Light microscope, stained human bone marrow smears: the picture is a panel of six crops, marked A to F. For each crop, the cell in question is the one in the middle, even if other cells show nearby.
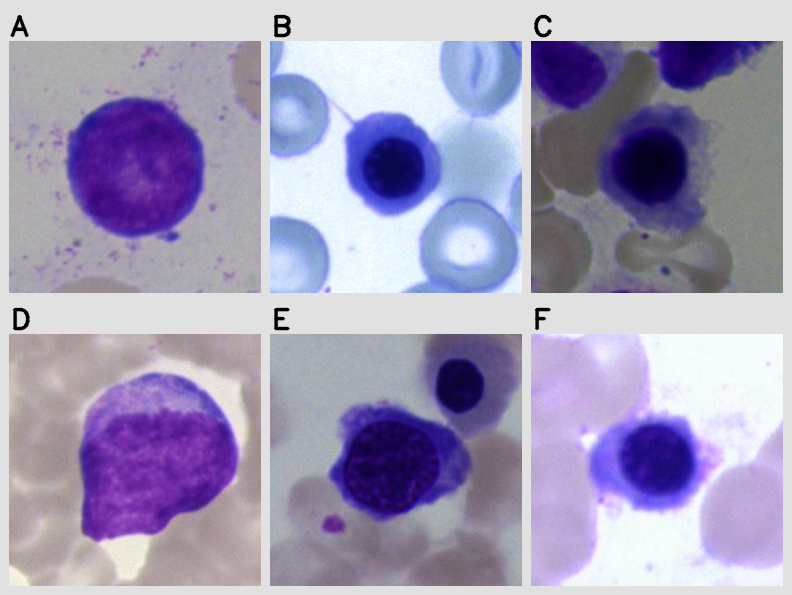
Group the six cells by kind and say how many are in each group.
erythroblast: 4
blast: 2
